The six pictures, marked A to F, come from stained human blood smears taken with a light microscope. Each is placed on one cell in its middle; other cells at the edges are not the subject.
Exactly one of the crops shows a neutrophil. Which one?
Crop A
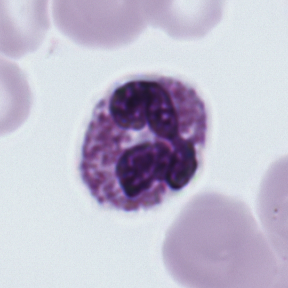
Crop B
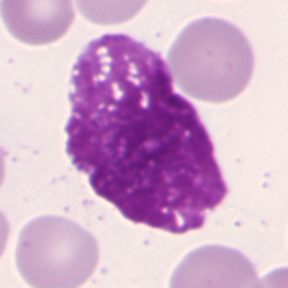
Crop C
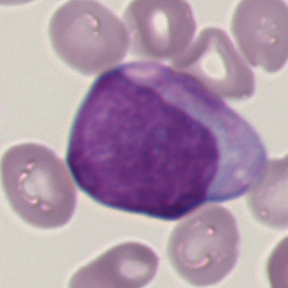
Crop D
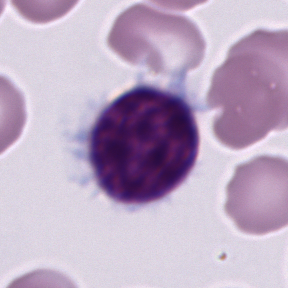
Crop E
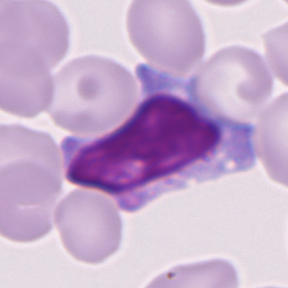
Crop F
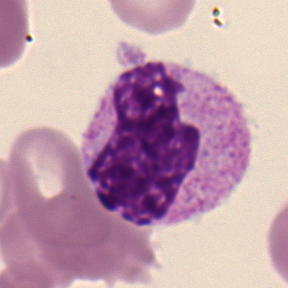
F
